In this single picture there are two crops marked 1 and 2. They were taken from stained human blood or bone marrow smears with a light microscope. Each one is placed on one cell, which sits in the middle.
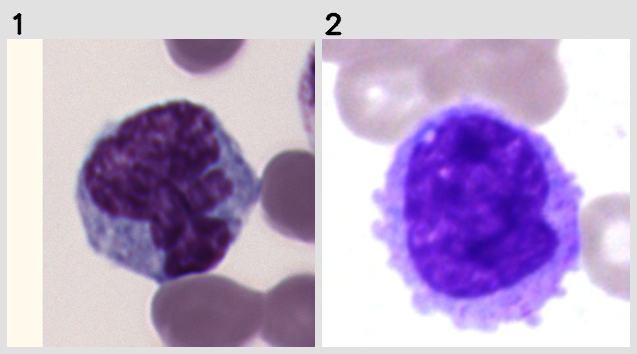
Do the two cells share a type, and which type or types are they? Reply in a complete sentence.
Yes, the two crops share the same answer, monocytes.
